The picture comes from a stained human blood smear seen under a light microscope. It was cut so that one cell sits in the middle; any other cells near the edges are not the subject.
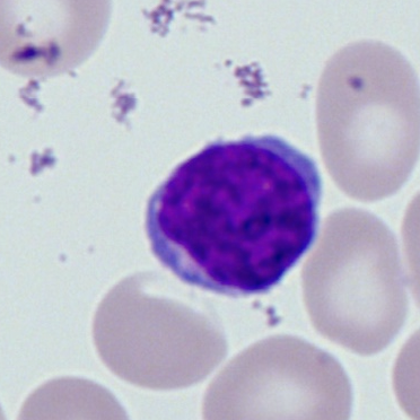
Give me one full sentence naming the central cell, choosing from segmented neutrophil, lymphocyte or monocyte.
Located at the centre of the crop is a lymphocyte.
